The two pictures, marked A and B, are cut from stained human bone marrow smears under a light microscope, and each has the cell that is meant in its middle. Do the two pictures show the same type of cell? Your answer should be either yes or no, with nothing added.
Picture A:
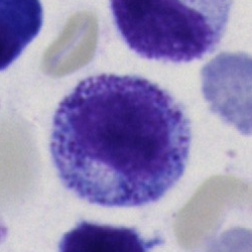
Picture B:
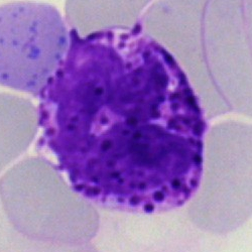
no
